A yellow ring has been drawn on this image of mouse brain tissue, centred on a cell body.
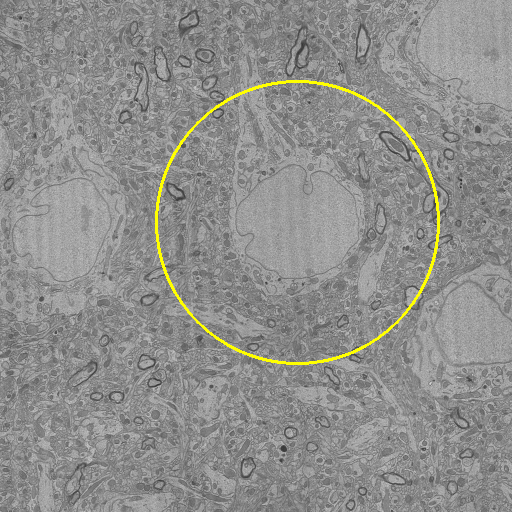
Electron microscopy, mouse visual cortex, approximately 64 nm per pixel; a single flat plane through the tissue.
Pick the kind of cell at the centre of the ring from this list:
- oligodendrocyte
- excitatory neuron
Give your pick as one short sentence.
The centre of the ring holds an excitatory neuron.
